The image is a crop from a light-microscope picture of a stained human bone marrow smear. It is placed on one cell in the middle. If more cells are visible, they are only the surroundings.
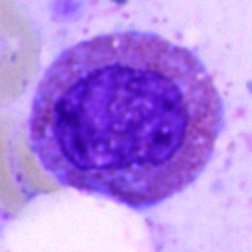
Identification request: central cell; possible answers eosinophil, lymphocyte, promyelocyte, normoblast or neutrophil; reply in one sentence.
The center cell of this crop is an eosinophil.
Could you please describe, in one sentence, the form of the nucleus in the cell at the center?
Round, oval or kidney-shaped, the nucleus is one compact mass.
